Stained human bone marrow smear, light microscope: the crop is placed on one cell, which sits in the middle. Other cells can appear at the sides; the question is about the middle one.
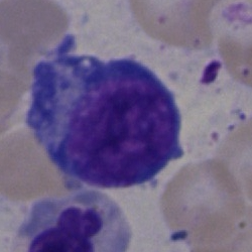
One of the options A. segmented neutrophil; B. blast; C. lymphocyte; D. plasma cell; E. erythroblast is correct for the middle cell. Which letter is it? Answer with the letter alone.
D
